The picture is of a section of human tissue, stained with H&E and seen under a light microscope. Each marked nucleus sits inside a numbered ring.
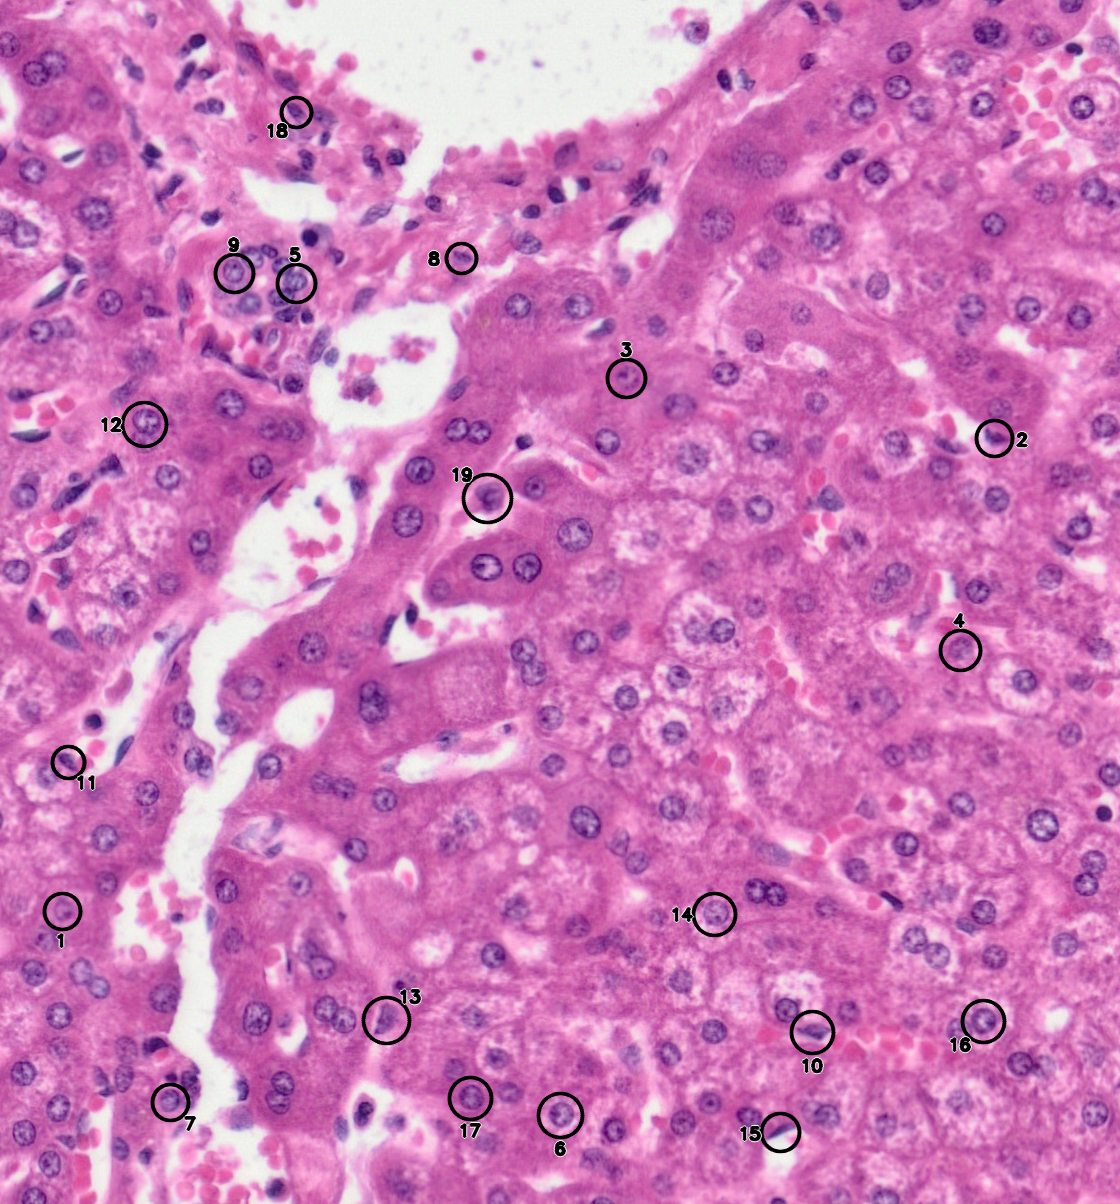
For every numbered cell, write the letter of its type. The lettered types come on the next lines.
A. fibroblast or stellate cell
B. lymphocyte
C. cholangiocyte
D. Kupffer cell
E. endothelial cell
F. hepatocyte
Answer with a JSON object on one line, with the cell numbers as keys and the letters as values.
{"1": "F", "2": "E", "3": "F", "4": "F", "5": "C", "6": "F", "7": "C", "8": "A", "9": "C", "10": "E", "11": "A", "12": "F", "13": "E", "14": "F", "15": "E", "16": "F", "17": "F", "18": "A", "19": "D"}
